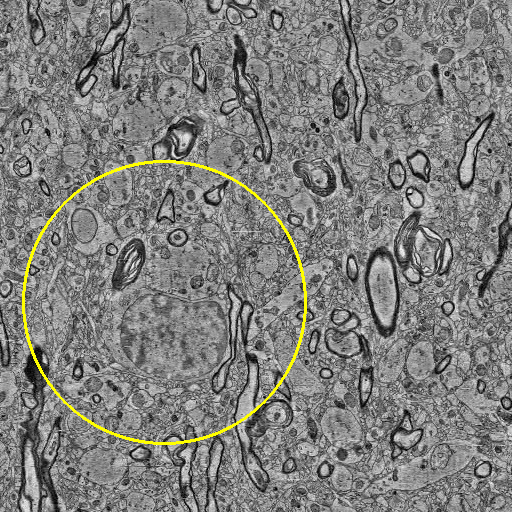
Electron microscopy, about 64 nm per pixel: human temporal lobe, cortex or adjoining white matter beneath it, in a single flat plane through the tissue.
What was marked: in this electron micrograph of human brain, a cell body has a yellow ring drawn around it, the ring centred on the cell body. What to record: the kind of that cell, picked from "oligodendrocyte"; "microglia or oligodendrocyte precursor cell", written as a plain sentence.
The centred cell is an oligodendrocyte.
